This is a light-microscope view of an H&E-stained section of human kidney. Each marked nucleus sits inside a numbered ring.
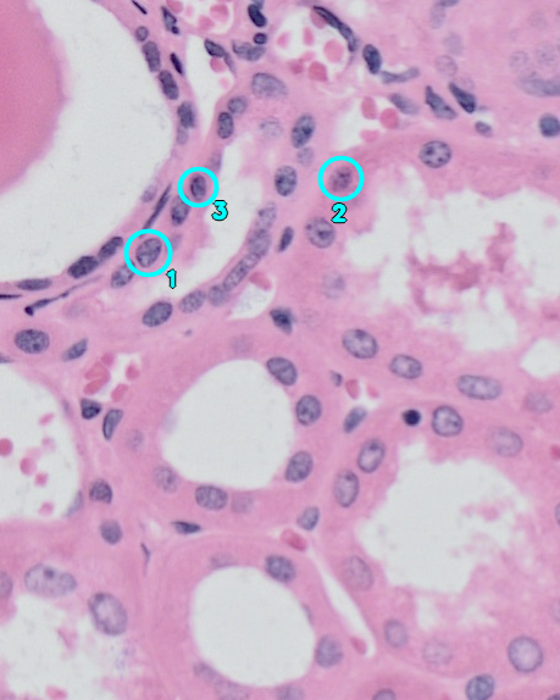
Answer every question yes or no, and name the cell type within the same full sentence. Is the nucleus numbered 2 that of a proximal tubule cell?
Yes, within this section, cell number 2 is a proximal tubule cell.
